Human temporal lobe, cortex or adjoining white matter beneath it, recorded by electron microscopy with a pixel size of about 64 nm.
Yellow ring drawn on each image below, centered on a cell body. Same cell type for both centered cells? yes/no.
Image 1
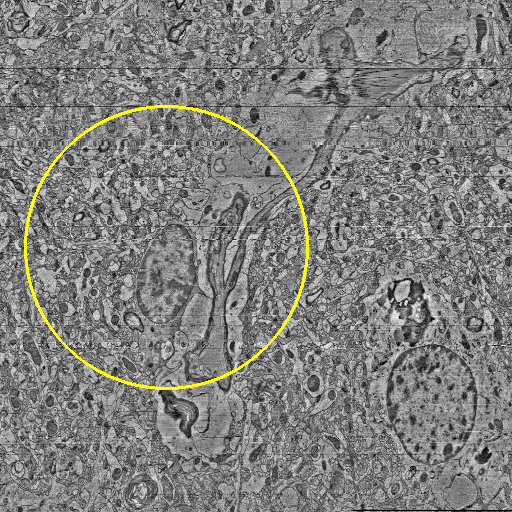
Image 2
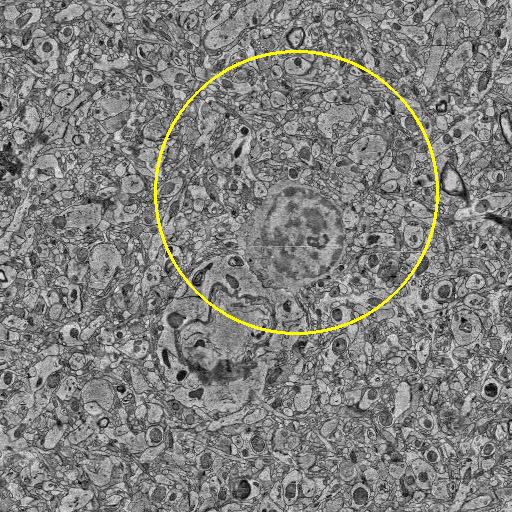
yes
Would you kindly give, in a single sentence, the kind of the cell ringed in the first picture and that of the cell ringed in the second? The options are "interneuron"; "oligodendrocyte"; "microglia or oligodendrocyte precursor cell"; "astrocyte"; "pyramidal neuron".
Both rings mark an oligodendrocyte, one in each picture.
